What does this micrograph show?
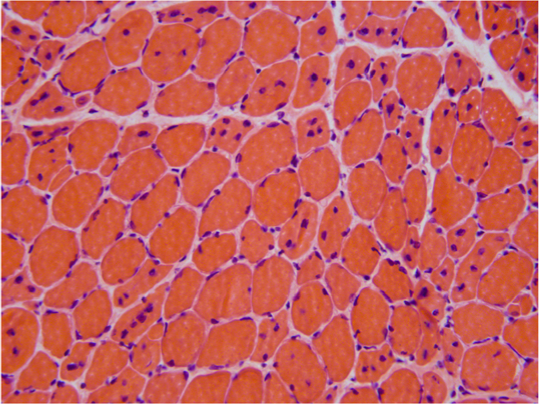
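This is a cross-section of skeletal muscle, with closely packed pink polygonal muscle fibers separated by thin pale lines of connective tissue. Many fibers contain dark purple nuclei lying inside the fiber rather than at its edge, some holding several such nuclei. Other nuclei sit flattened at the fiber borders, as is usual for muscle. The fibers vary in size, and a paler band of connective tissue crosses the upper part of the field. These internally placed nuclei mark centrally nucleated muscle fibers, a departure from normal fiber morphology.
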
